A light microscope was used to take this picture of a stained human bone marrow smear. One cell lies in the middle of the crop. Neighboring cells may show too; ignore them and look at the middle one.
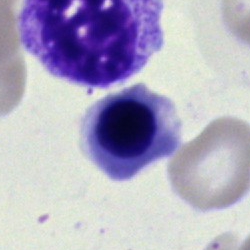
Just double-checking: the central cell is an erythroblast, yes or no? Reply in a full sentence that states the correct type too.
Yes, in this crop the cell in the middle is an erythroblast.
